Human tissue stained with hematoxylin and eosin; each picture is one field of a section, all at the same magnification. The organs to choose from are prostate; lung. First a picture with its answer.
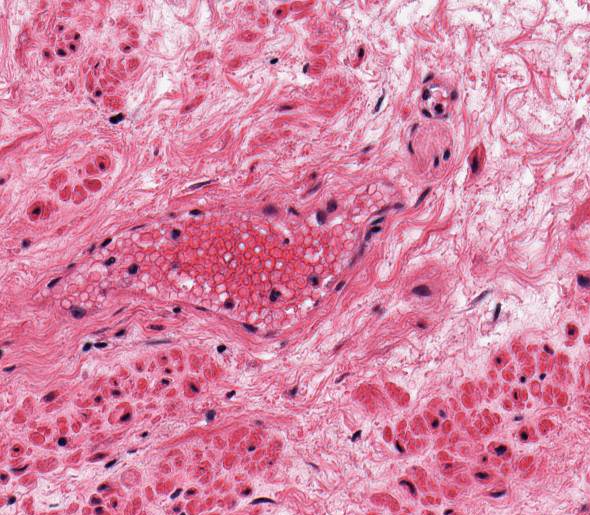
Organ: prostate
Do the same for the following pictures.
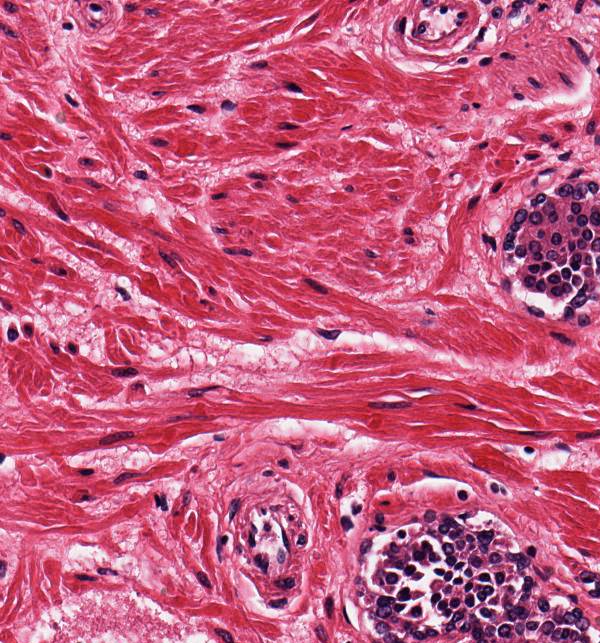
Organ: prostate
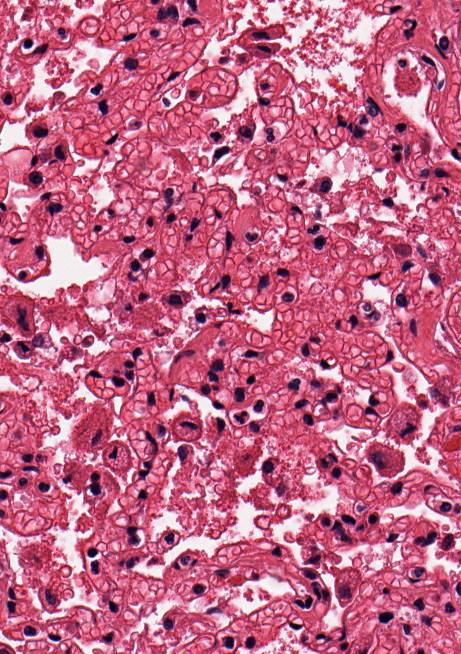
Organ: lung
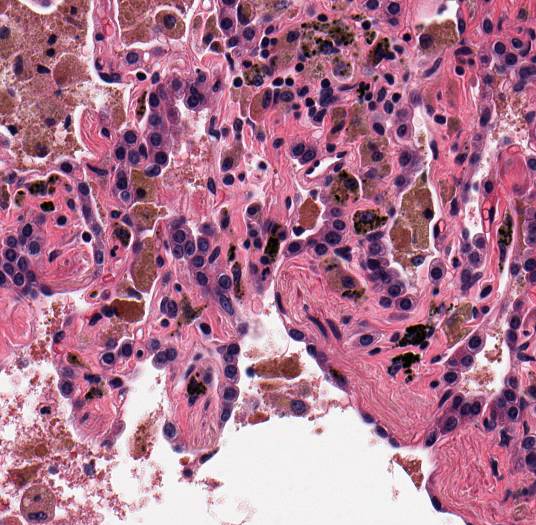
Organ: lung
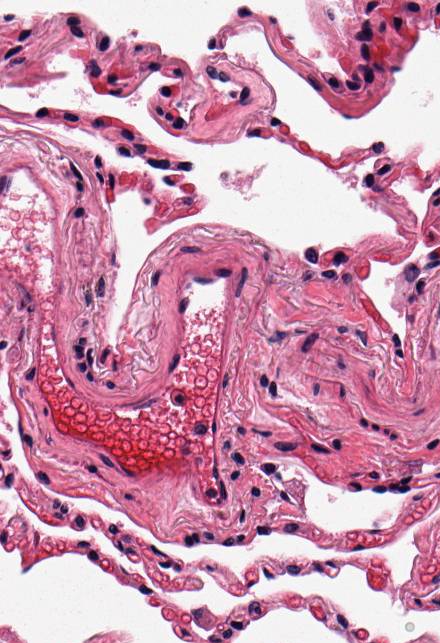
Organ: lung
